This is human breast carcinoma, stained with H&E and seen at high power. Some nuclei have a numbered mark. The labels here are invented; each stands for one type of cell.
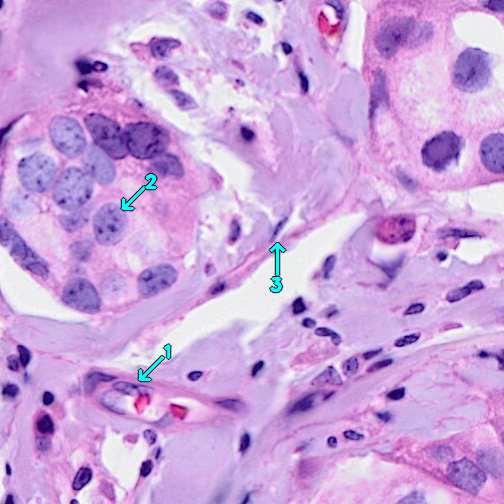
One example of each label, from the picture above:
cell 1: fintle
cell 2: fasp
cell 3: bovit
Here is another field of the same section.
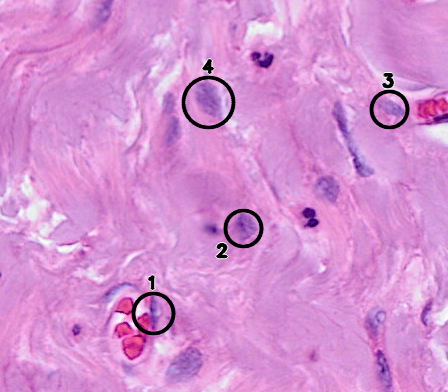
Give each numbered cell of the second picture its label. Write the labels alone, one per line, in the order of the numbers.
fintle
bovit
bovit
bovit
